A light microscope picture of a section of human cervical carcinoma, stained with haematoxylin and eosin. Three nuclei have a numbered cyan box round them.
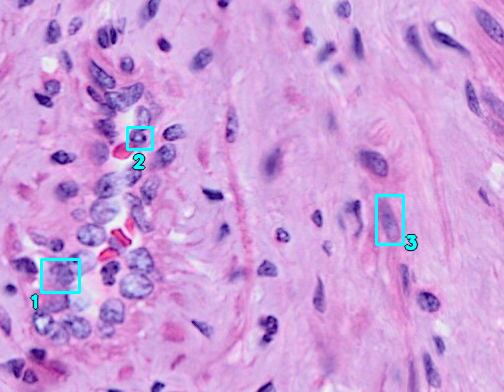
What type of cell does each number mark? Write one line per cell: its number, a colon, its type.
1: endothelial cell
2: endothelial cell
3: smooth muscle cell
